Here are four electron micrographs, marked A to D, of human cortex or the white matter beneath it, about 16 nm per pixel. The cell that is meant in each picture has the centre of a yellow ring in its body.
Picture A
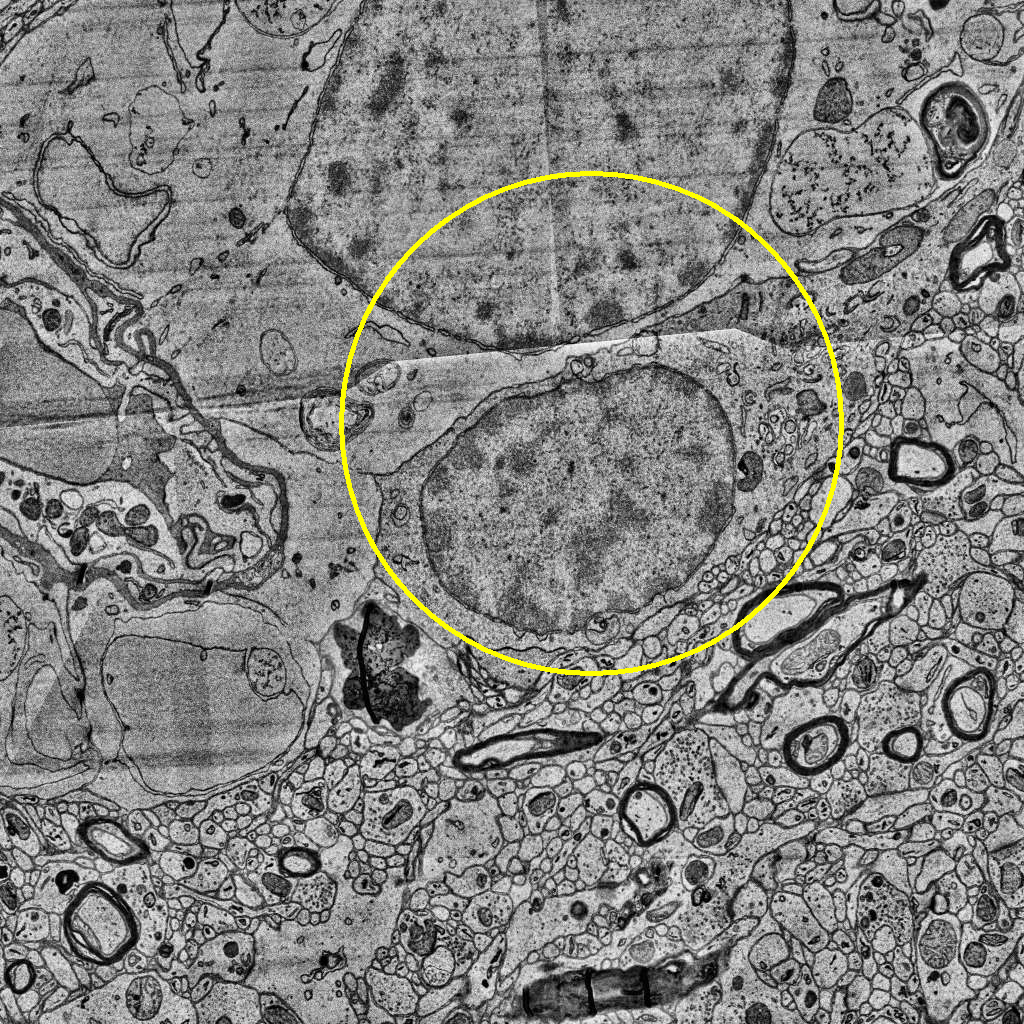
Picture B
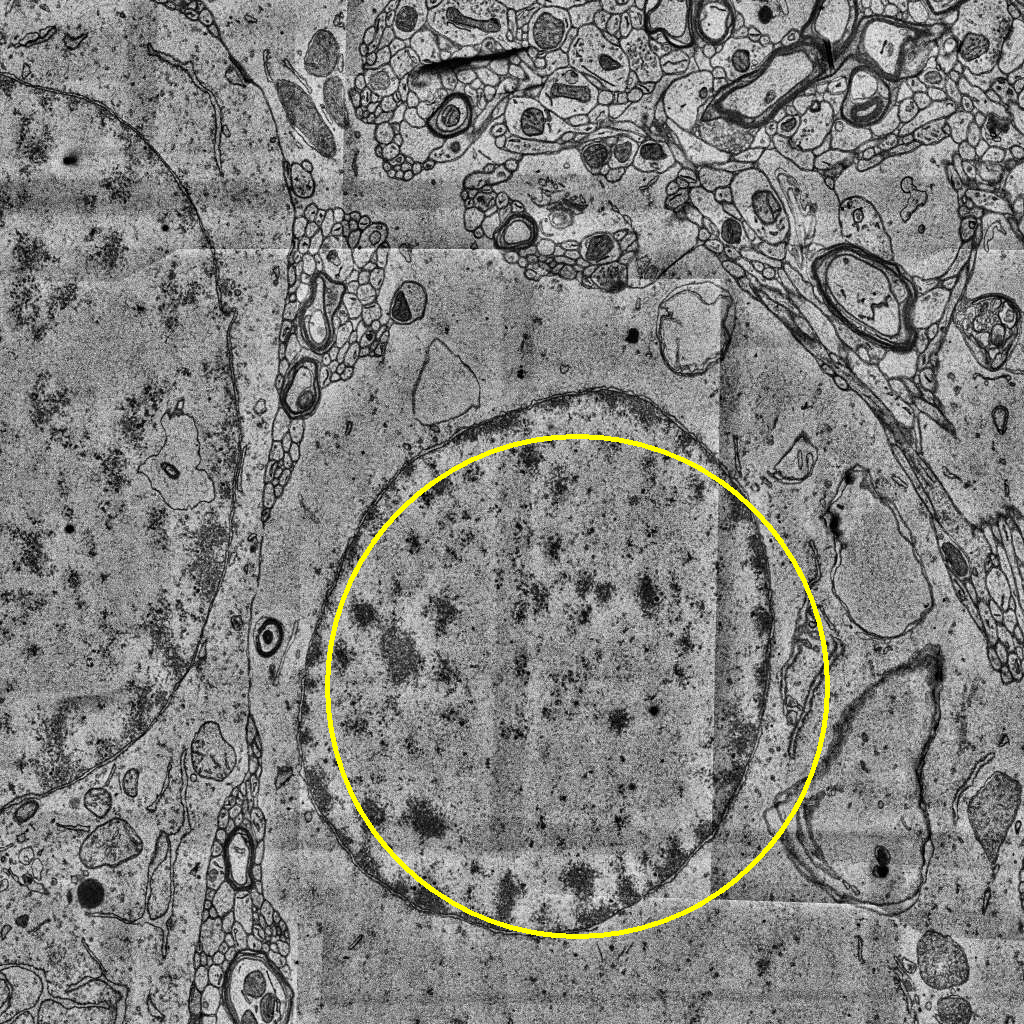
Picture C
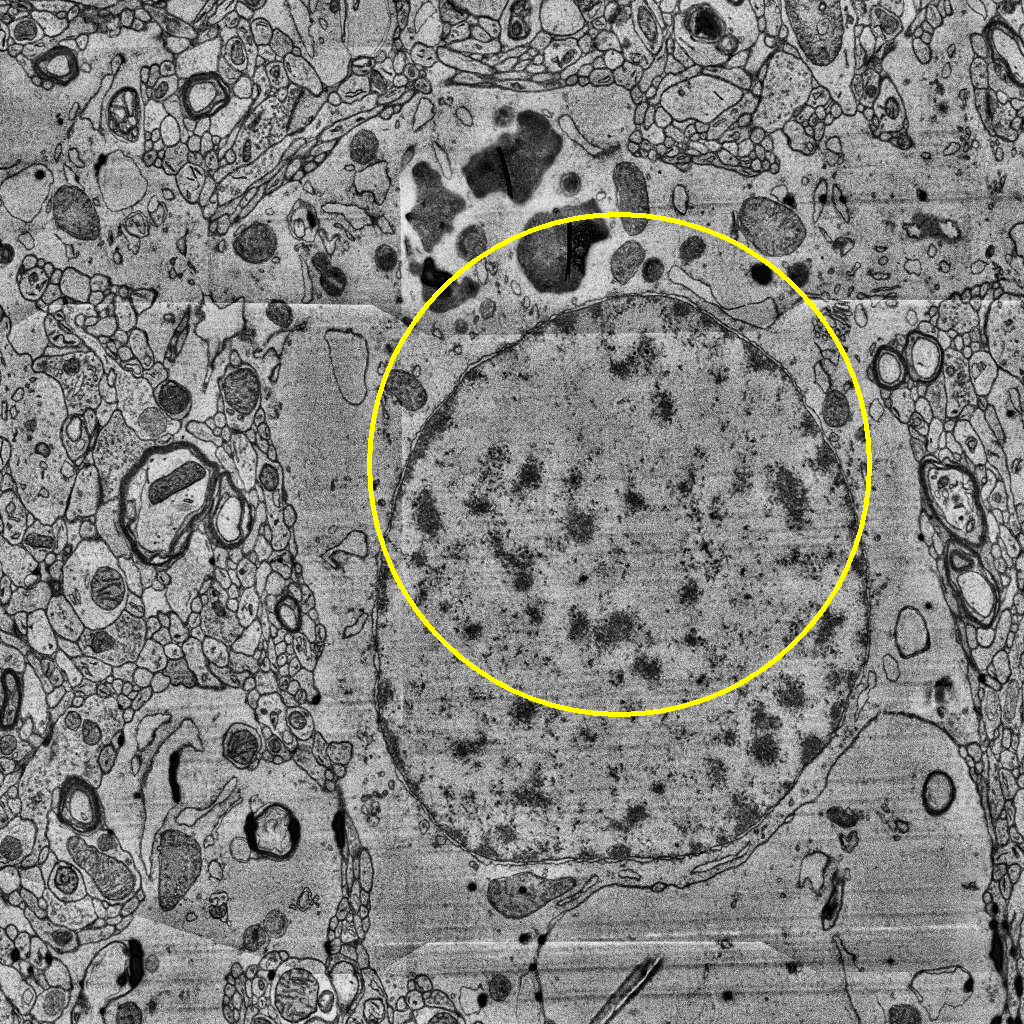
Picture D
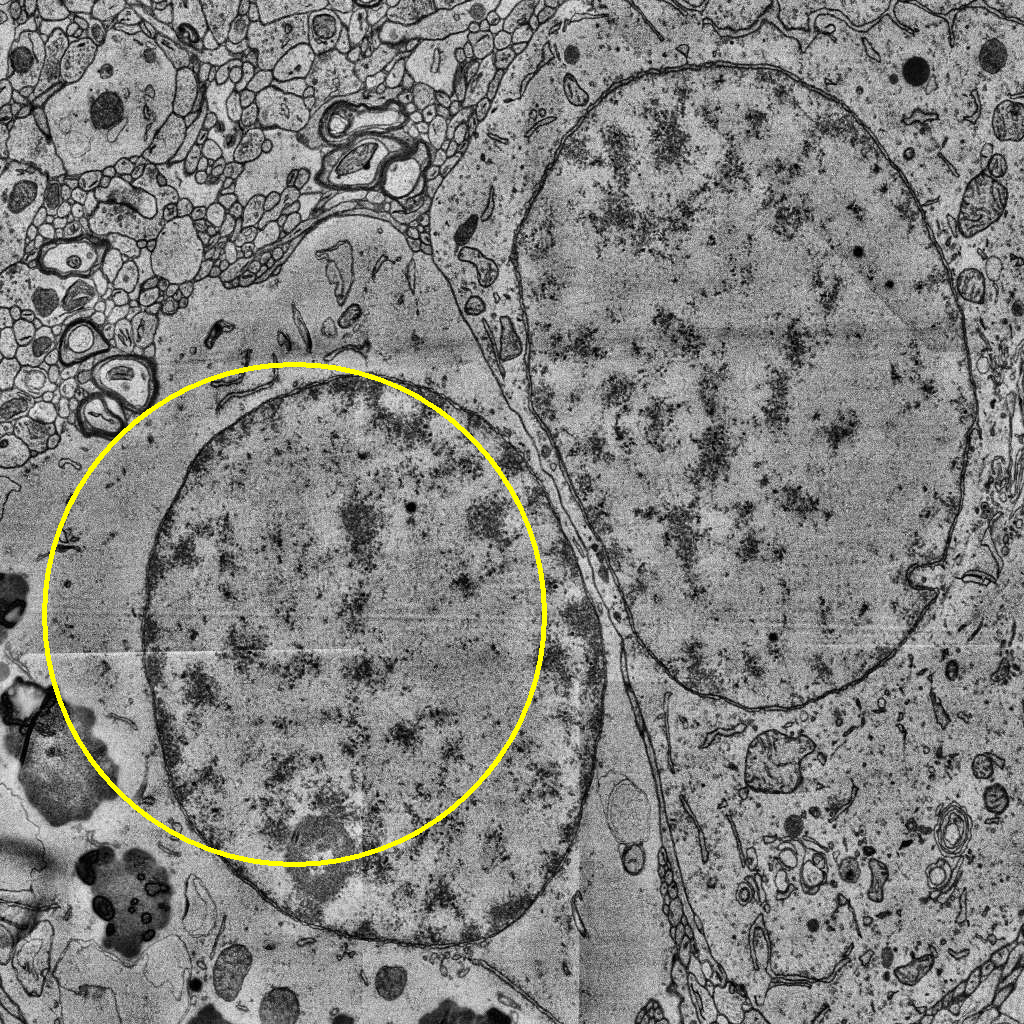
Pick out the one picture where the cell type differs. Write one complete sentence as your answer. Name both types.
Picture A is the odd one out: it shows an oligodendrocyte, while the others show astrocytes.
